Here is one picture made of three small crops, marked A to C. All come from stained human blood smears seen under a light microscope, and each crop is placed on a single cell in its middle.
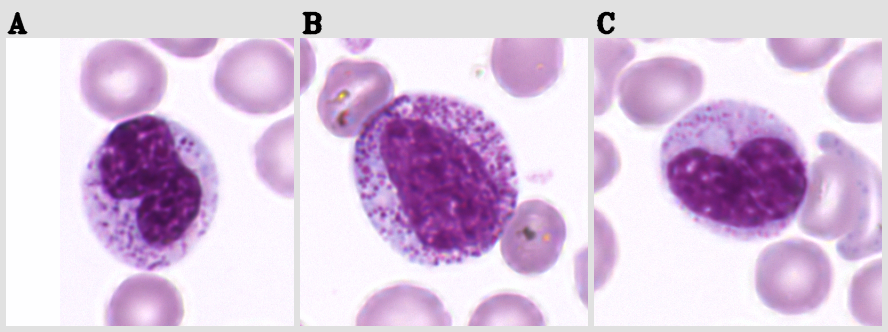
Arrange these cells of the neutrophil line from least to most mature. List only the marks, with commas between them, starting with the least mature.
B, C, A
